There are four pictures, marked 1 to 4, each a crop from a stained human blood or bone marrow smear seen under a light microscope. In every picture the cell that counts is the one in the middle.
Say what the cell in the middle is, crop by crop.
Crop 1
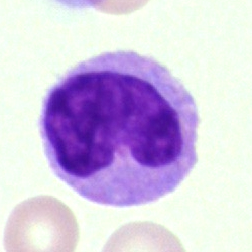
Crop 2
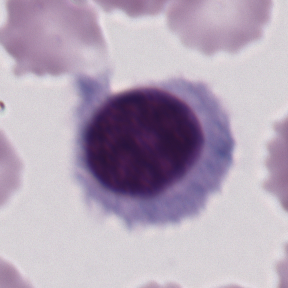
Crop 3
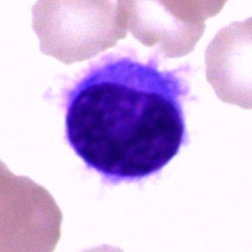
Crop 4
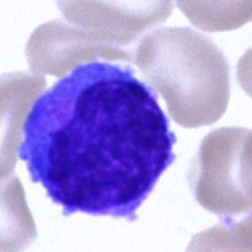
1: monocyte
2: hairy cell
3: hairy cell
4: monocyte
